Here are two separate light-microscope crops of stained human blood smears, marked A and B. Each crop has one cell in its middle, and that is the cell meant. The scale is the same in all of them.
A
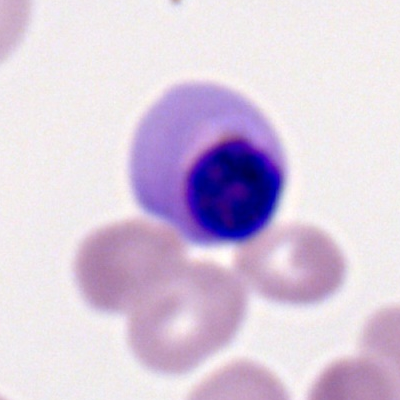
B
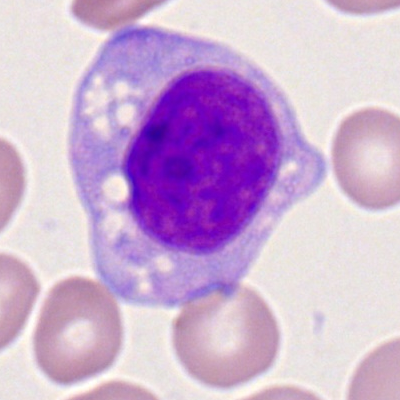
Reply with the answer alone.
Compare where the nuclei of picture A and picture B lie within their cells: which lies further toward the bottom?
A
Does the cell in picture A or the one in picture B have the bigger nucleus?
B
